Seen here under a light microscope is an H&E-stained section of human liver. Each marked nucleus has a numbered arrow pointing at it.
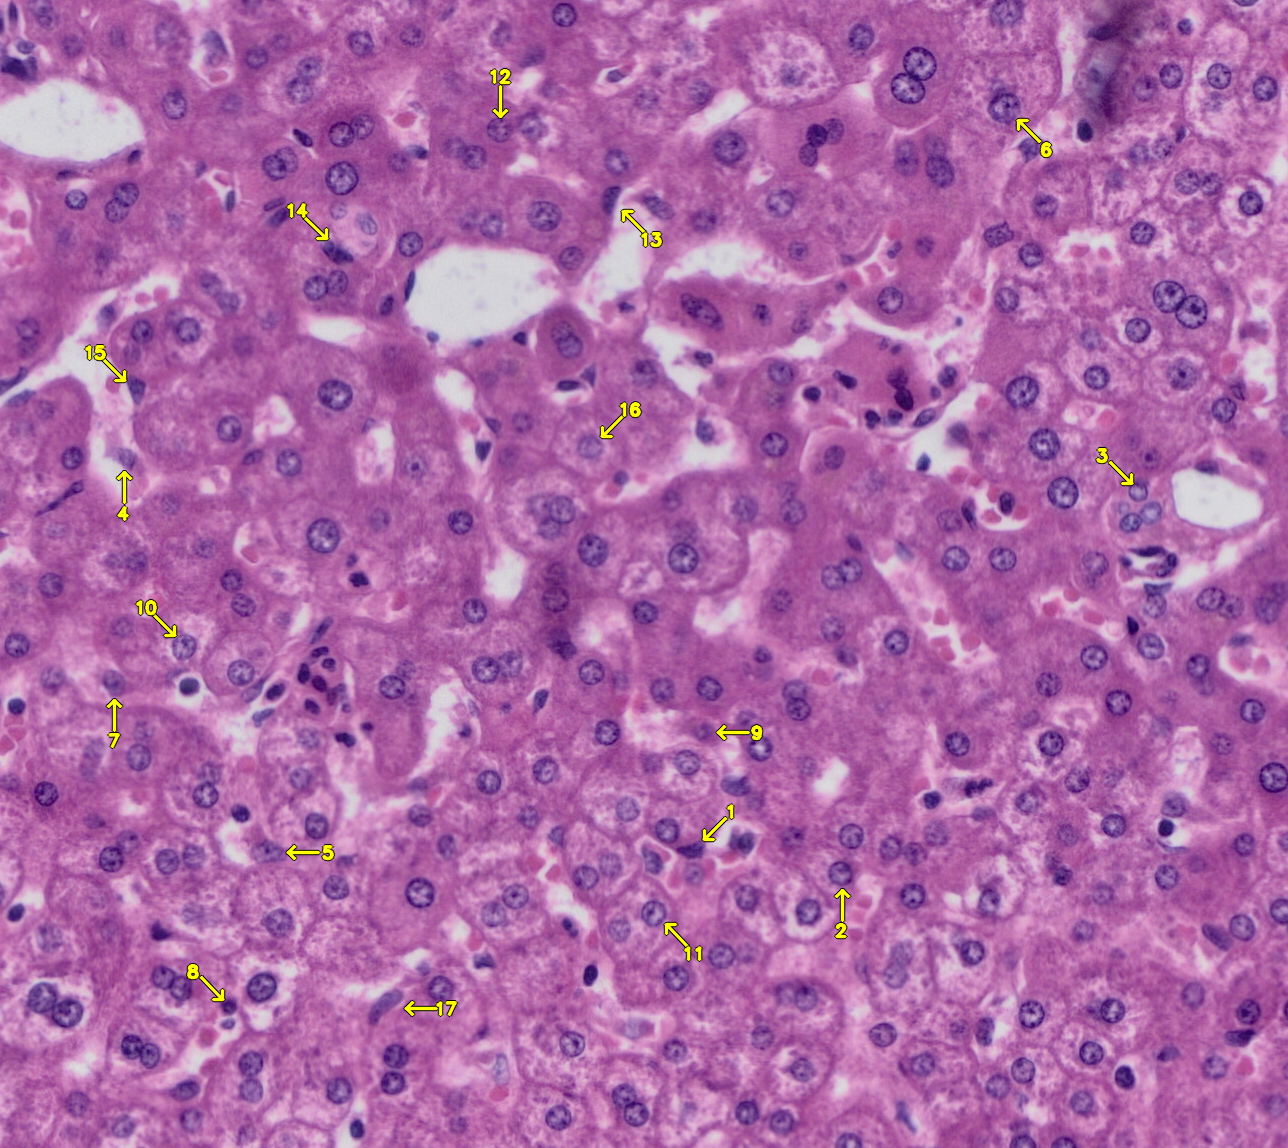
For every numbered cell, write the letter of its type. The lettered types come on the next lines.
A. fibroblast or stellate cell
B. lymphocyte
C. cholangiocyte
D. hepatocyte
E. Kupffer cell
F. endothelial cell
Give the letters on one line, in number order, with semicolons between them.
A; D; C; E; E; D; E; B; E; D; D; D; A; A; A; D; E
